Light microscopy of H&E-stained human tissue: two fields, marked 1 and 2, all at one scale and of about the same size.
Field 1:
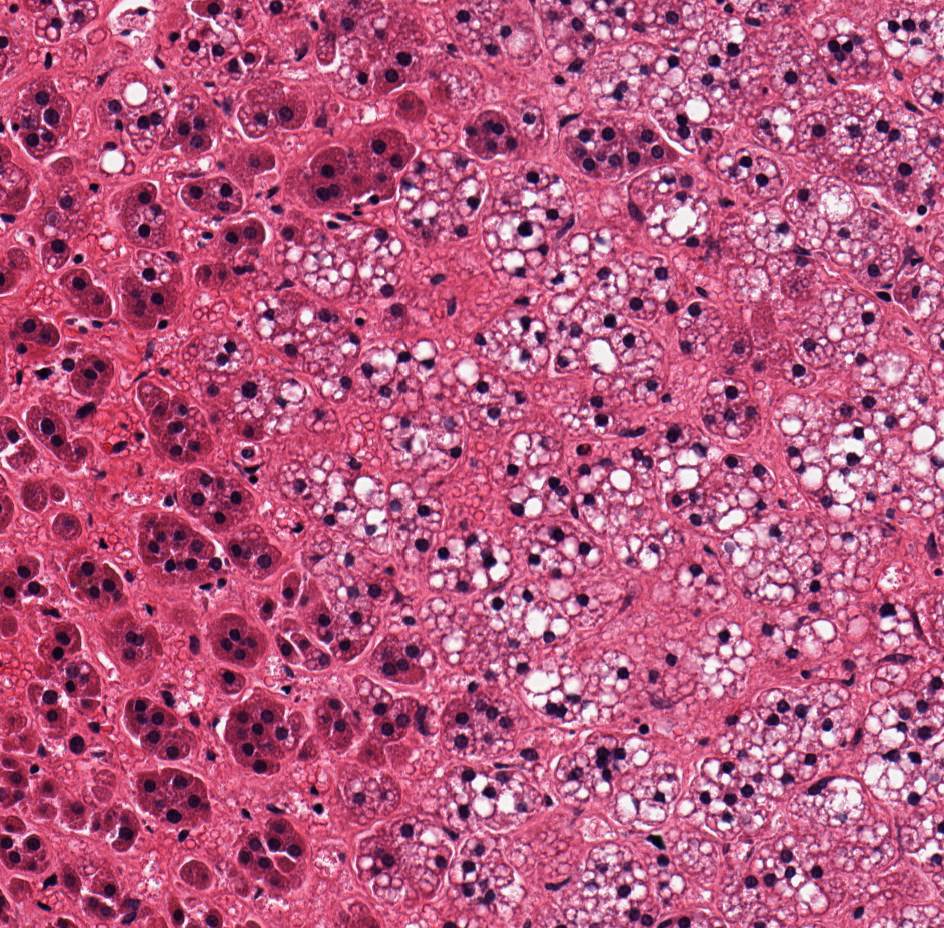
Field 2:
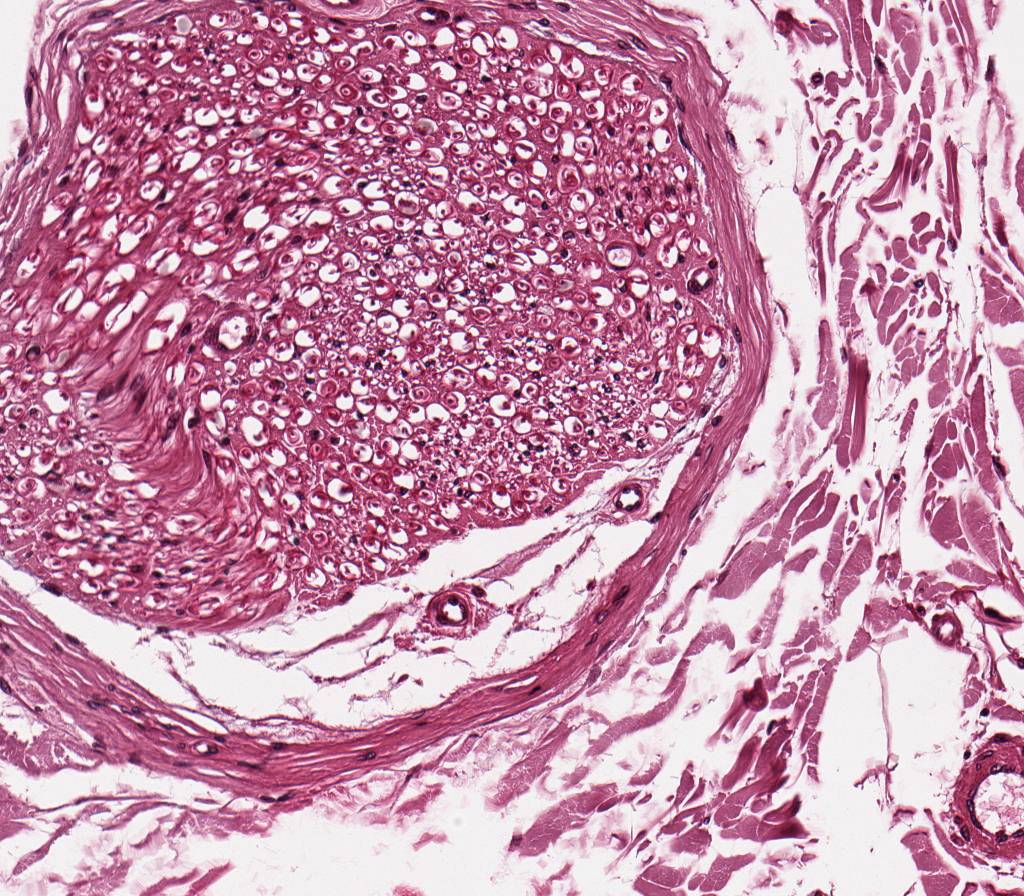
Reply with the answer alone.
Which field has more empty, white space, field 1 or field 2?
2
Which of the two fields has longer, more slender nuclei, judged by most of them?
2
